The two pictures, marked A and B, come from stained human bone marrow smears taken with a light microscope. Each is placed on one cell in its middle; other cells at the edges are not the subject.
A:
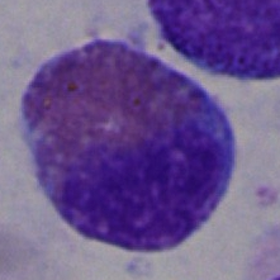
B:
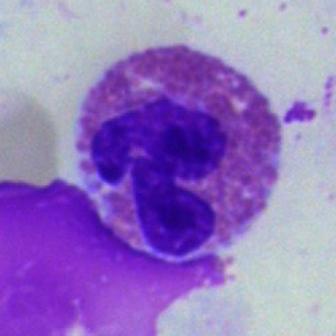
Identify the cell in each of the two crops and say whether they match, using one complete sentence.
Yes, as for both crops, the cells shown are eosinophils.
